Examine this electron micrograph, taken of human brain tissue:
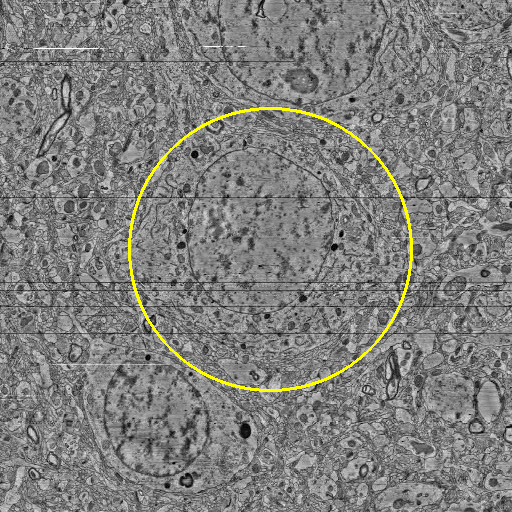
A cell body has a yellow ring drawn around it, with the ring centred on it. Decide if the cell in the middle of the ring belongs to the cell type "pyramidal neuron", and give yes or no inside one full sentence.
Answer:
Yes, the cell at the centre of the yellow ring in this picture is of that type.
